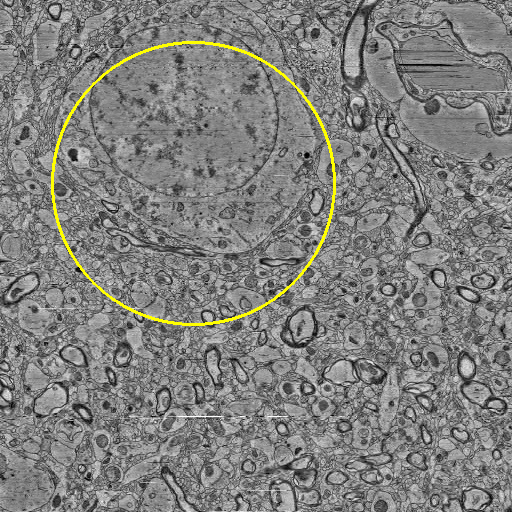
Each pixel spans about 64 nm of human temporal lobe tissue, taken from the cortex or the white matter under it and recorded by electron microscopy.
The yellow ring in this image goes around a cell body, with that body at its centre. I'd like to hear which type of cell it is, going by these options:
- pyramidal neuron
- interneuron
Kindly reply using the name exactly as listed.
pyramidal neuron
